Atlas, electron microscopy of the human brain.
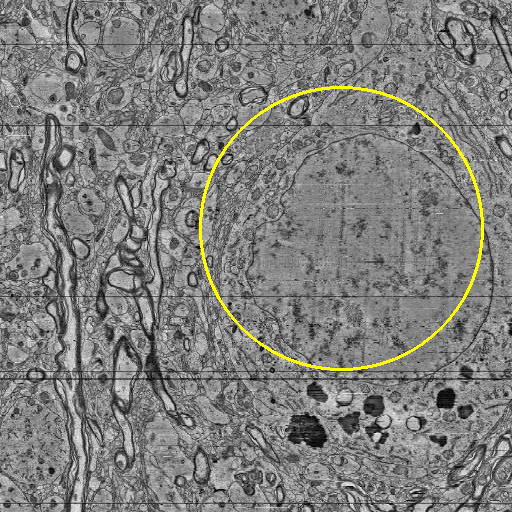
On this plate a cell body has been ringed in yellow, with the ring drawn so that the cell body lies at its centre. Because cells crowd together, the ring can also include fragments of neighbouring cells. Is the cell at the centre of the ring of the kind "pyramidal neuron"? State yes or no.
Yes, it is of that kind.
